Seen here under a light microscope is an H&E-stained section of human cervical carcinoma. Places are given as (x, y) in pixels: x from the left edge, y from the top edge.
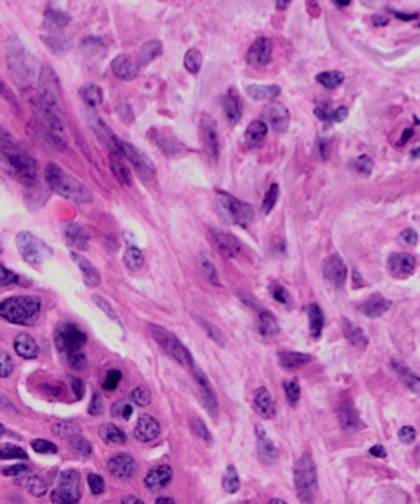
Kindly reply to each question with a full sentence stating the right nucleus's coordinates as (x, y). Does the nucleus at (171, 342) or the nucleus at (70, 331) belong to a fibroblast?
The nucleus belonging to a fibroblast is the one at (171, 342).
